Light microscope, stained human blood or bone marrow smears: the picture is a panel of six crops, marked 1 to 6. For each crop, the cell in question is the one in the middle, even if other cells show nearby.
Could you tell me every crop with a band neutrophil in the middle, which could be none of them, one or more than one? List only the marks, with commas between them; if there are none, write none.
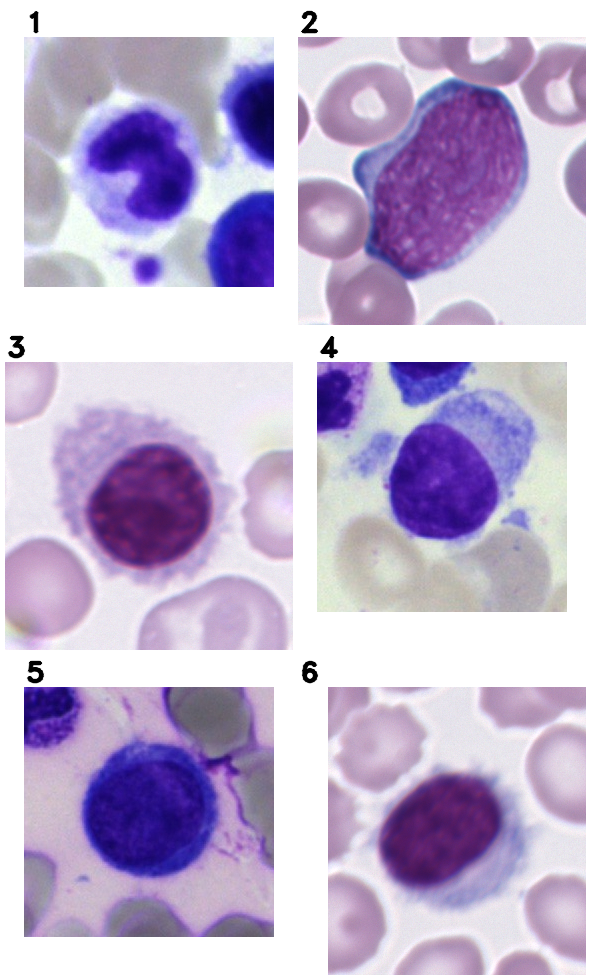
1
